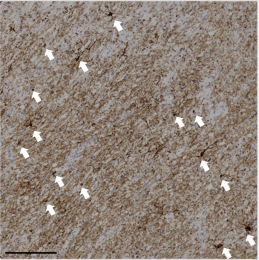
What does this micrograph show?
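The cells lie singly and well apart from one another. Around them the tissue has a fine, fibrous, light brown texture, with pale blue nuclei scattered between the fibres.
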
